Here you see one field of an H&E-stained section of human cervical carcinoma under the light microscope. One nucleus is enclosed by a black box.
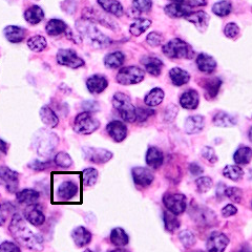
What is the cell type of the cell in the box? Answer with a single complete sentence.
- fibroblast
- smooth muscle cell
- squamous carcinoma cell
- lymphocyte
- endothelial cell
In this section of tissue, the cell in the box is a lymphocyte.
